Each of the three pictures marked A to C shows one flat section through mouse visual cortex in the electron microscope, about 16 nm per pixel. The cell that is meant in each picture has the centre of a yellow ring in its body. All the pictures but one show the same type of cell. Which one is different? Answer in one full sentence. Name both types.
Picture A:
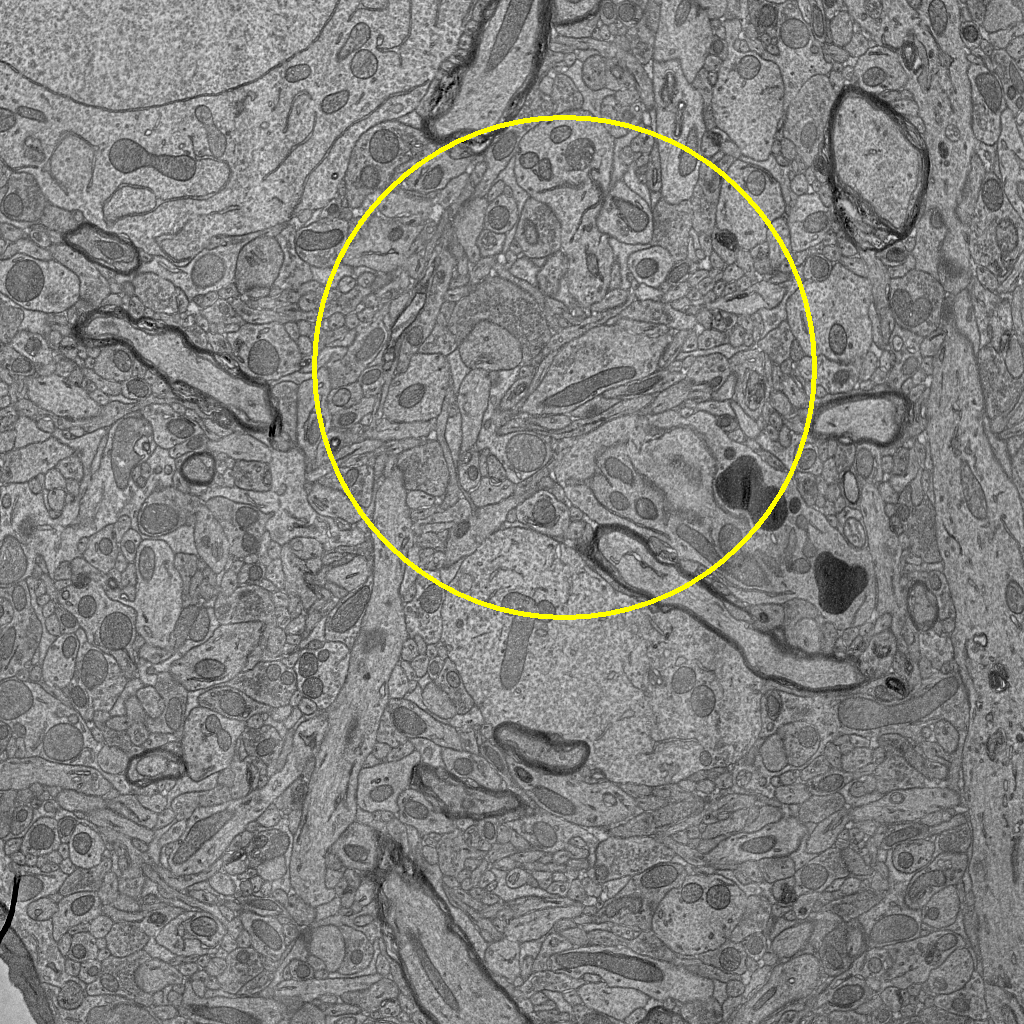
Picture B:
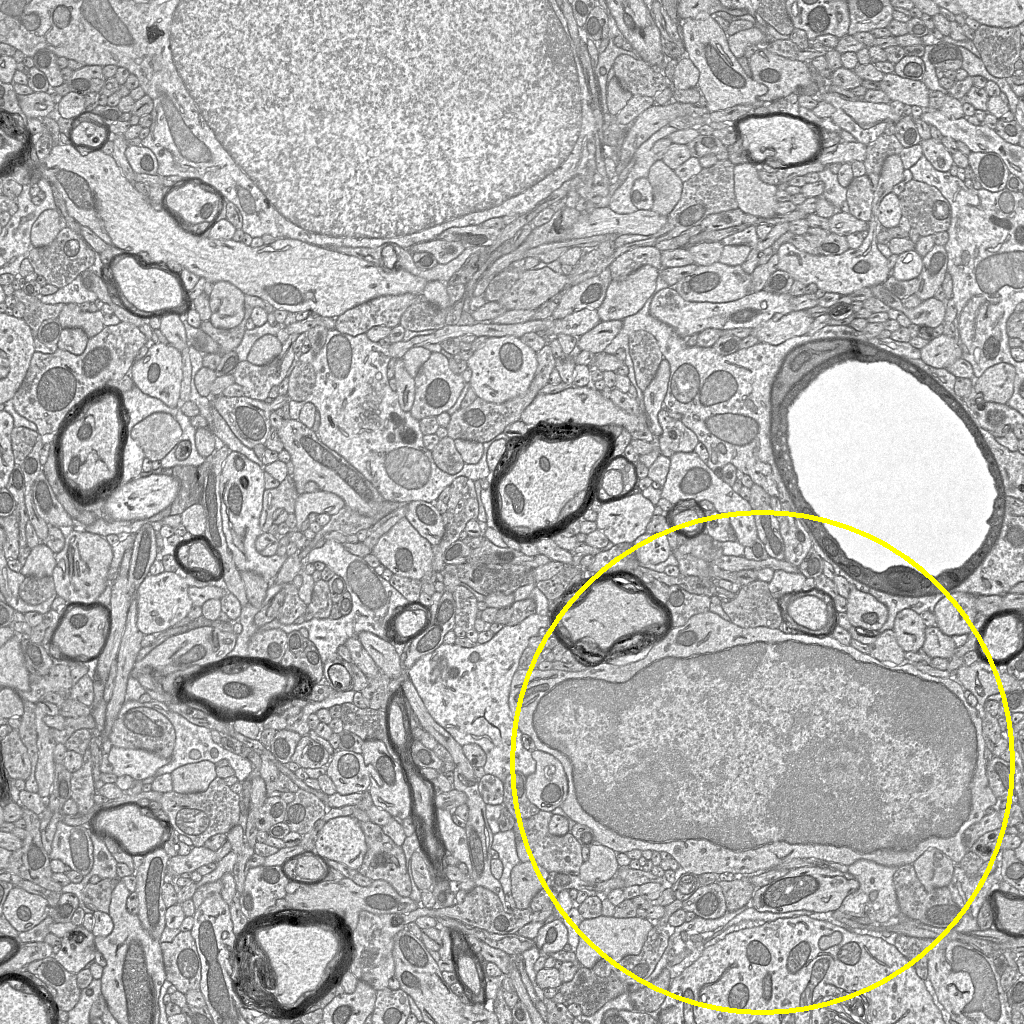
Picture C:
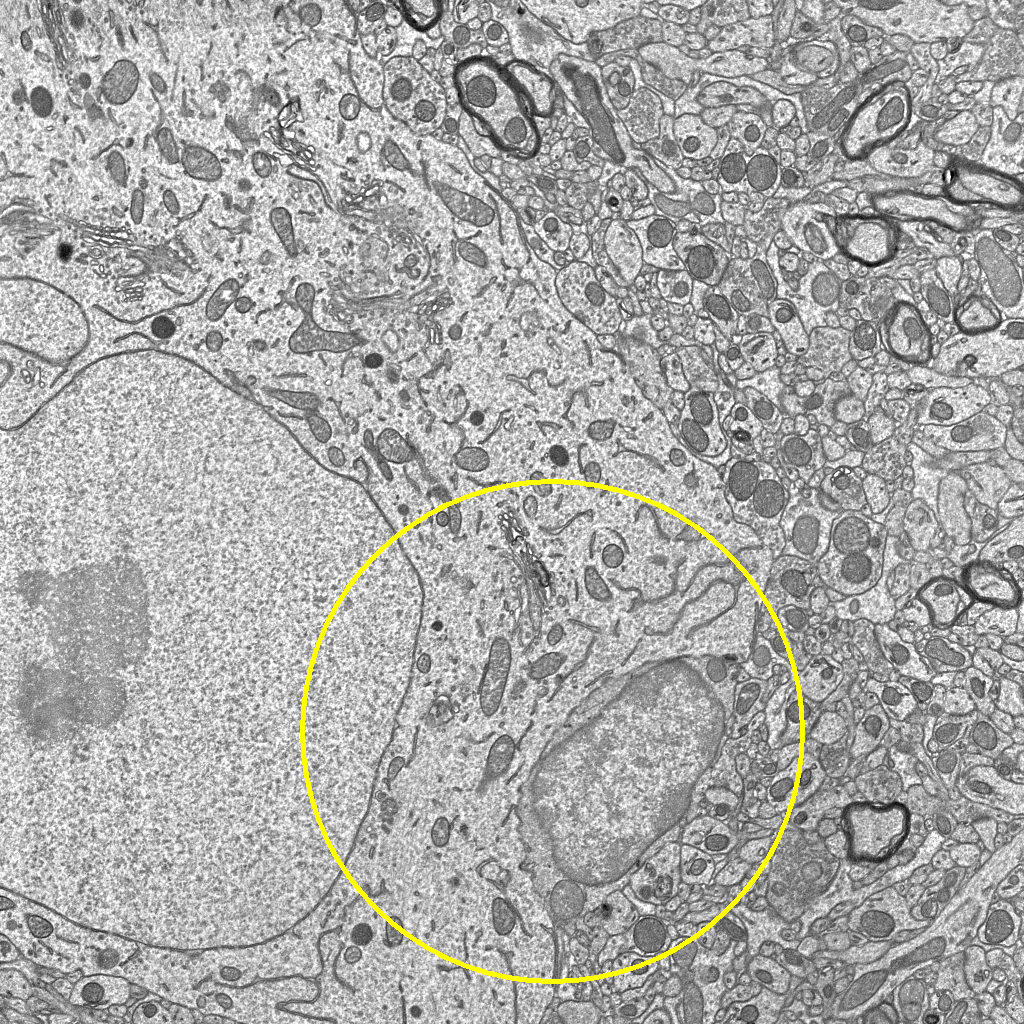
Picture C differs, because its cell is an oligodendrocyte and the rest are microglial cells.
